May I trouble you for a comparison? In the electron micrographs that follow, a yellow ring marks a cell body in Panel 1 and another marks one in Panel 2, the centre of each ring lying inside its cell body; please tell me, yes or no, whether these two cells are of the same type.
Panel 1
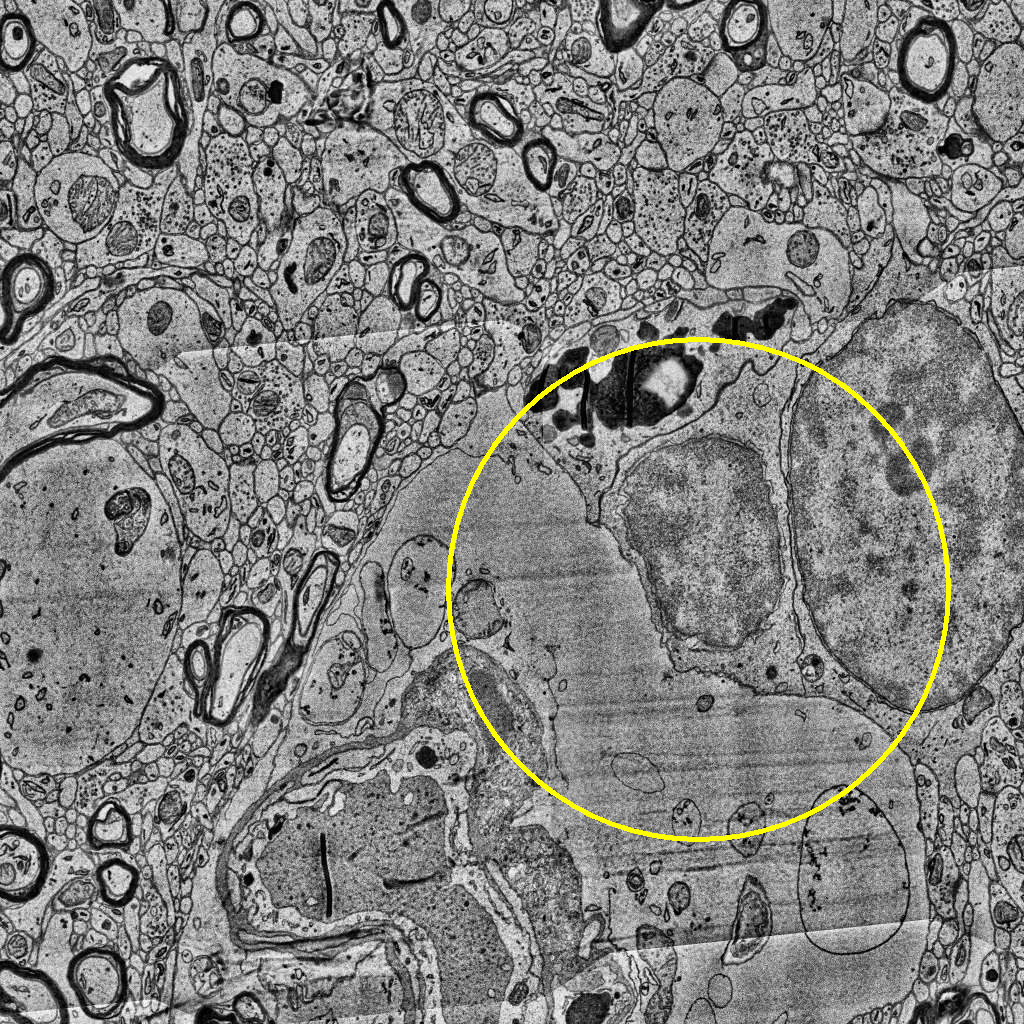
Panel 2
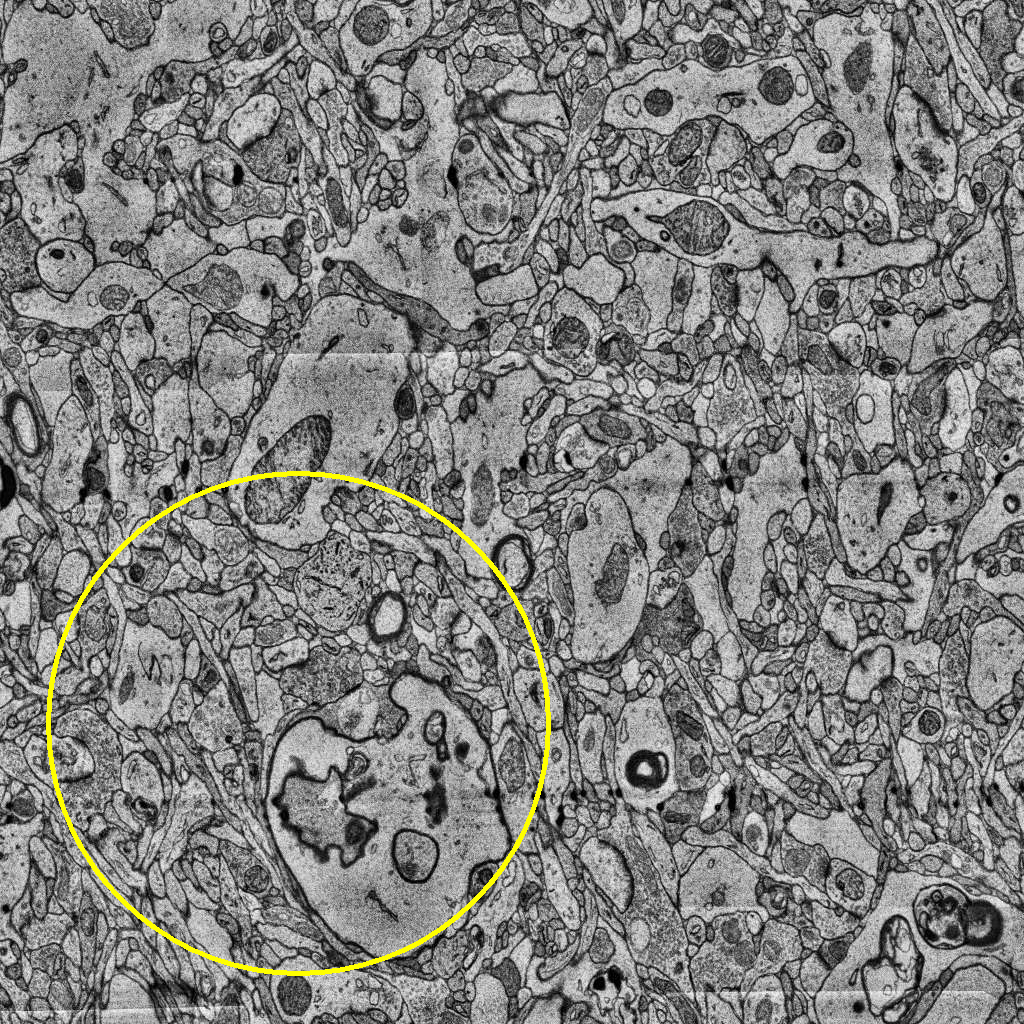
yes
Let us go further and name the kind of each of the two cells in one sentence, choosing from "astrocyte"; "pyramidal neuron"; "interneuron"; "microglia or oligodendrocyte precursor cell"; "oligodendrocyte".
The second cell is an oligodendrocyte, just as the first is.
